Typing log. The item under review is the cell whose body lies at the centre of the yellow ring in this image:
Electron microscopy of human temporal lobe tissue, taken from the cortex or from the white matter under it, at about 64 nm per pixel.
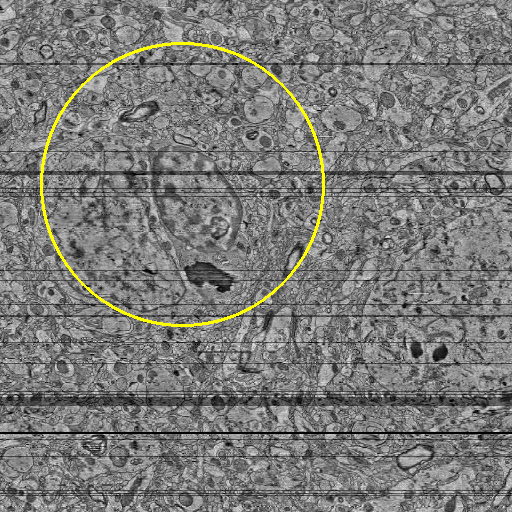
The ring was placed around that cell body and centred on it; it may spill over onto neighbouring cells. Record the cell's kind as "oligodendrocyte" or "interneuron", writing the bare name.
oligodendrocyte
